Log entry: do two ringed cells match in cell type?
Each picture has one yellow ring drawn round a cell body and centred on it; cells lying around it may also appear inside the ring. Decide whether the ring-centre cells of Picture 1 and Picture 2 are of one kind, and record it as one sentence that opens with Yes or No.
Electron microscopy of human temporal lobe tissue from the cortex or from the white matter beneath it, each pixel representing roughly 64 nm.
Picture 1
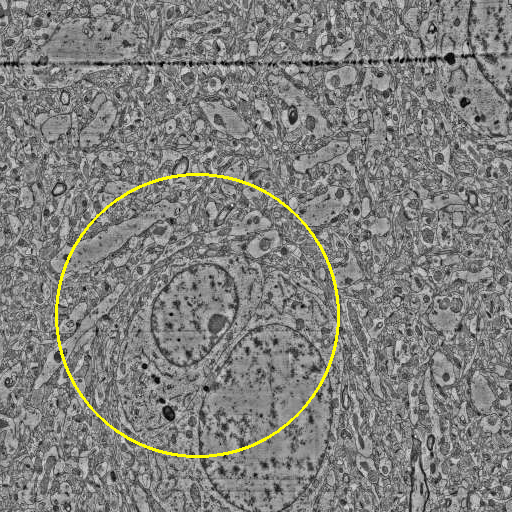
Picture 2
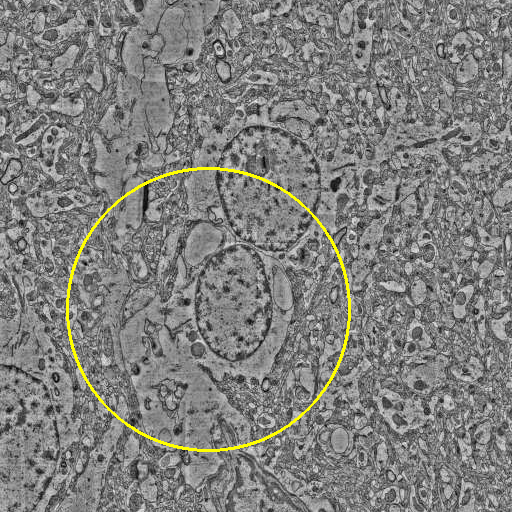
No, the cells at the ring centres of the two pictures belong to two kinds.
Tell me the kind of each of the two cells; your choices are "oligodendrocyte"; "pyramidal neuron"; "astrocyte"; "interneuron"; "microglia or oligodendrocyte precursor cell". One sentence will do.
The ringed cell is a pyramidal neuron in the first picture and an astrocyte in the second picture.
